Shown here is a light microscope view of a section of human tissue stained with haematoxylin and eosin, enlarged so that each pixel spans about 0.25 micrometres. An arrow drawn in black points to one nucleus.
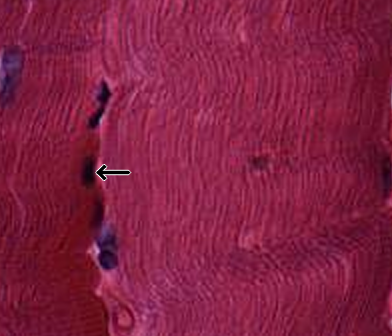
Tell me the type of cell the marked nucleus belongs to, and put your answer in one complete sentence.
The marked nucleus is contained in a skeletal muscle fibre.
